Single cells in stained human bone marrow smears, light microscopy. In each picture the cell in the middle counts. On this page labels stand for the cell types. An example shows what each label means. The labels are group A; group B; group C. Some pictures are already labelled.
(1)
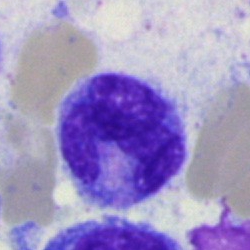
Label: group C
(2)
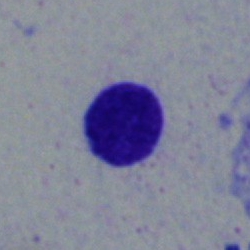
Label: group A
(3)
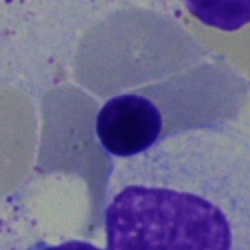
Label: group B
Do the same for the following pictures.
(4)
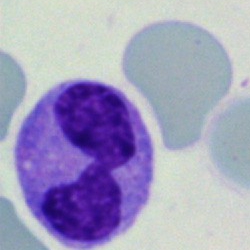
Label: group C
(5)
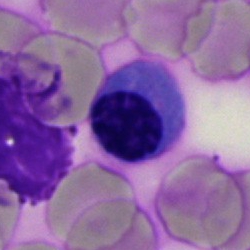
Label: group B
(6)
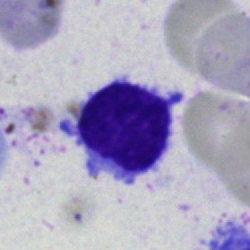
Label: group A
